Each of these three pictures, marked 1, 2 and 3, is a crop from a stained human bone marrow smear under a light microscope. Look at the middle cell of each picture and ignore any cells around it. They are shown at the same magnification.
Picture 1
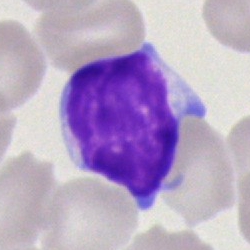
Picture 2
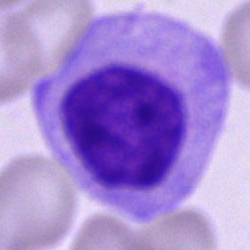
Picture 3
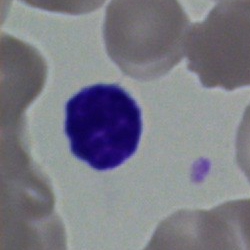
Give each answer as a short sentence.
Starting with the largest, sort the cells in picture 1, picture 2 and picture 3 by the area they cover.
From the largest down, the order is 2, 1, 3.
